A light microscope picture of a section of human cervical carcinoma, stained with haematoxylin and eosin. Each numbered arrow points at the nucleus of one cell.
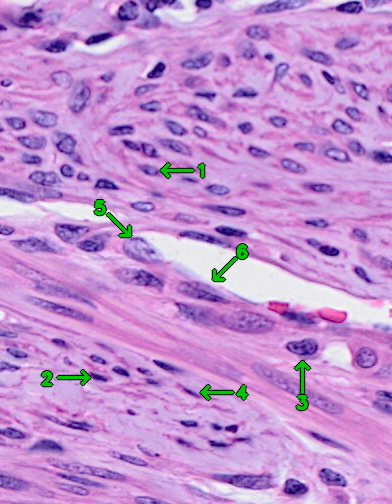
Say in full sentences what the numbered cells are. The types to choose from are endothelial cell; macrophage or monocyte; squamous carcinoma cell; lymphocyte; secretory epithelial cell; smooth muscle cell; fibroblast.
Cells 1, 2 and 4 are smooth muscle cells. Cell 3 is a lymphocyte. Cells 5 and 6 are endothelial cells.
